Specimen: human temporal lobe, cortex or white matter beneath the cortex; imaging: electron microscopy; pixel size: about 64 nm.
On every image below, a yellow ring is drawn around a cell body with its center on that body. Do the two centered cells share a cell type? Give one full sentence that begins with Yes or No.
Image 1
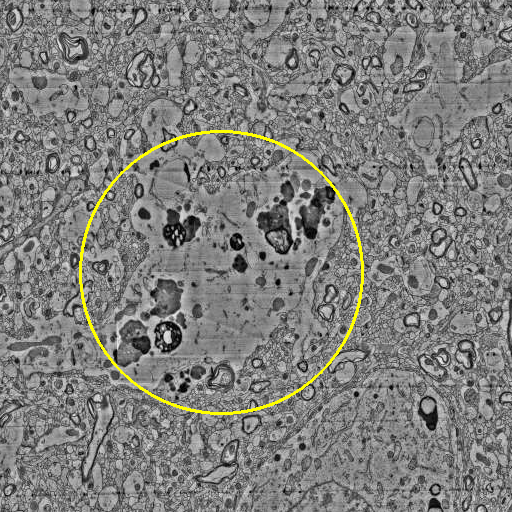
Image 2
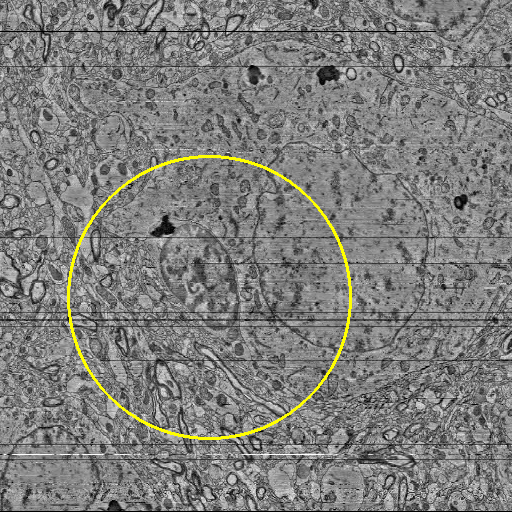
No, the centered cells in the two images are of two separate cell types.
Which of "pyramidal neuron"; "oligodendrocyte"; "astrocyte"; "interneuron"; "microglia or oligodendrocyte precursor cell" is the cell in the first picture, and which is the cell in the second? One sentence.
The two differ: the first cell is an astrocyte and the second is an oligodendrocyte.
